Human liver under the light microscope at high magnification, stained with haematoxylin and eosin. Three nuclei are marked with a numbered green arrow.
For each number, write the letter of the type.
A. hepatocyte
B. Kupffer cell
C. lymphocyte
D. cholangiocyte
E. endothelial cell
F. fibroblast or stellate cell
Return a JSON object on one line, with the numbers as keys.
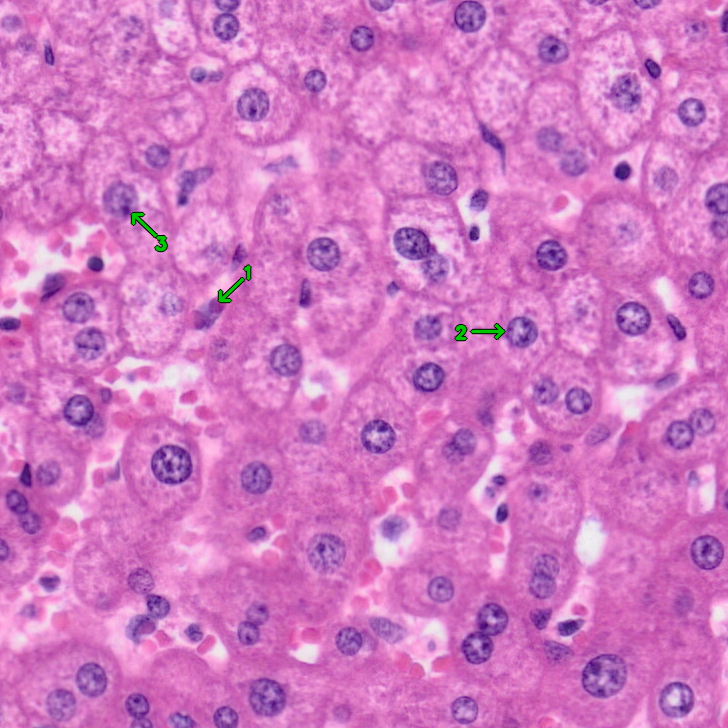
{"1": "E", "2": "A", "3": "A"}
